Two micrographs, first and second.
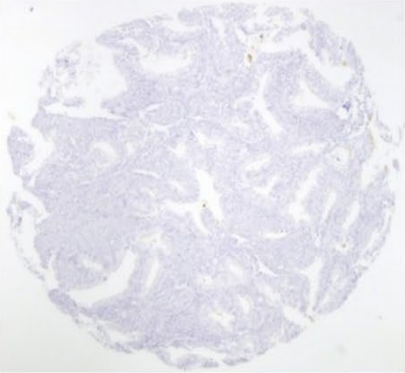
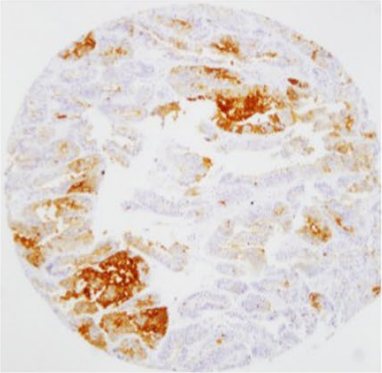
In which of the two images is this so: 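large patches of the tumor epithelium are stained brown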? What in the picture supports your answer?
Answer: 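Second image: several large clusters of epithelial cells are strongly brown. First image: the glands are only blue-counterstained with no brown staining. The answer: the second image.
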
